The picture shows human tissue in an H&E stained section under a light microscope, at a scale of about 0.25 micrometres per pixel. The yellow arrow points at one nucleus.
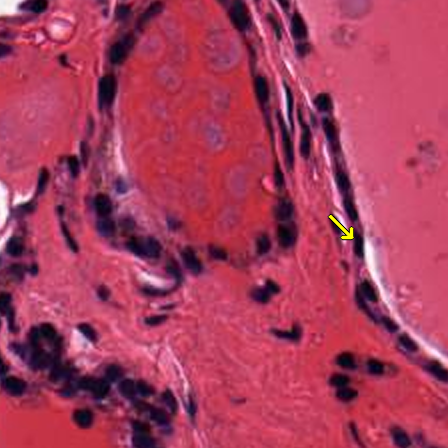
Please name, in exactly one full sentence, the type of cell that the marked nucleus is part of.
The nucleus marked in the section is that of a thyroid follicular cell.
